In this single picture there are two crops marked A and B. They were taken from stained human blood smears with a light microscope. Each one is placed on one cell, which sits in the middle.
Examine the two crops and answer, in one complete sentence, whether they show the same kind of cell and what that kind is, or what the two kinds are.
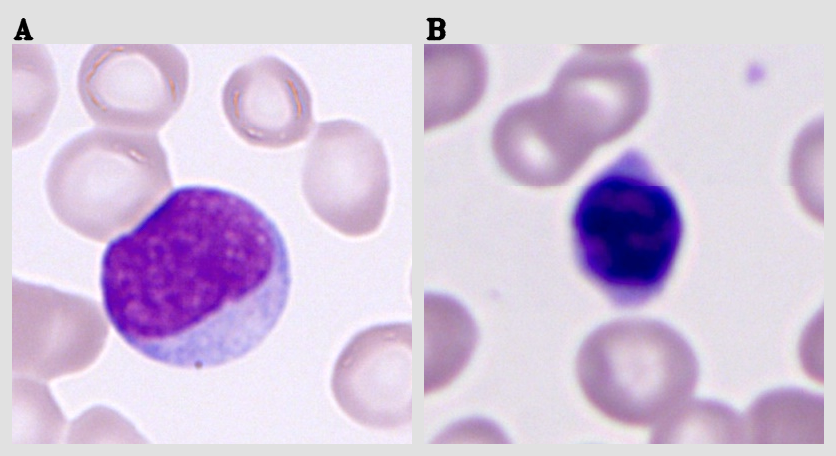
No, crop A captures a myeloblast, and crop B captures a lymphocyte.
